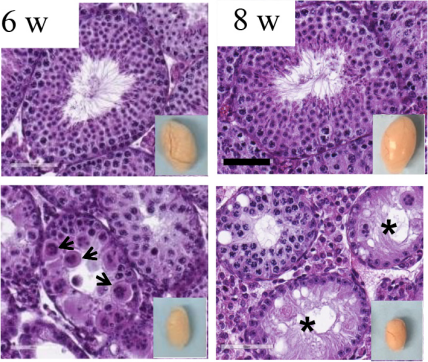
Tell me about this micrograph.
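In the upper pair the tubules are filled with many layers of germ cells with round purple nuclei, stacked from the wall towards a central lumen that holds a pale pink tuft of sperm tails. The whole-organ insets show the lower testes clearly smaller than the upper ones.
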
